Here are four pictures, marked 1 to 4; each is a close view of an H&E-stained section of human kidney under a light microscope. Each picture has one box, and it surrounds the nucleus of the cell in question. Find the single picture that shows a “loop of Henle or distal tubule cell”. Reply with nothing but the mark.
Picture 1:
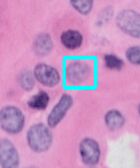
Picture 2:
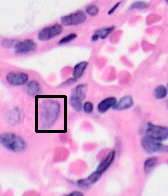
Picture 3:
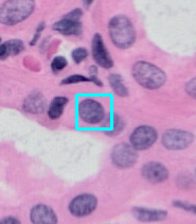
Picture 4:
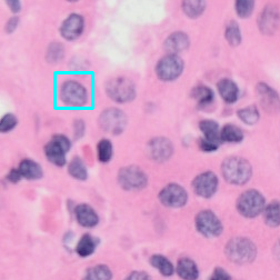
4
